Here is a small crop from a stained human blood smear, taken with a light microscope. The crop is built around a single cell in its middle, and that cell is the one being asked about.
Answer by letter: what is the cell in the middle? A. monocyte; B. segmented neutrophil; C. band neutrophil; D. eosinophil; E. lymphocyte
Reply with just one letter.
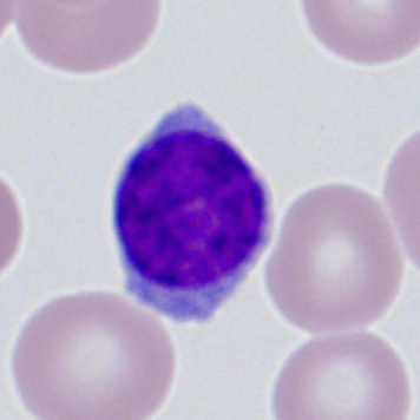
E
